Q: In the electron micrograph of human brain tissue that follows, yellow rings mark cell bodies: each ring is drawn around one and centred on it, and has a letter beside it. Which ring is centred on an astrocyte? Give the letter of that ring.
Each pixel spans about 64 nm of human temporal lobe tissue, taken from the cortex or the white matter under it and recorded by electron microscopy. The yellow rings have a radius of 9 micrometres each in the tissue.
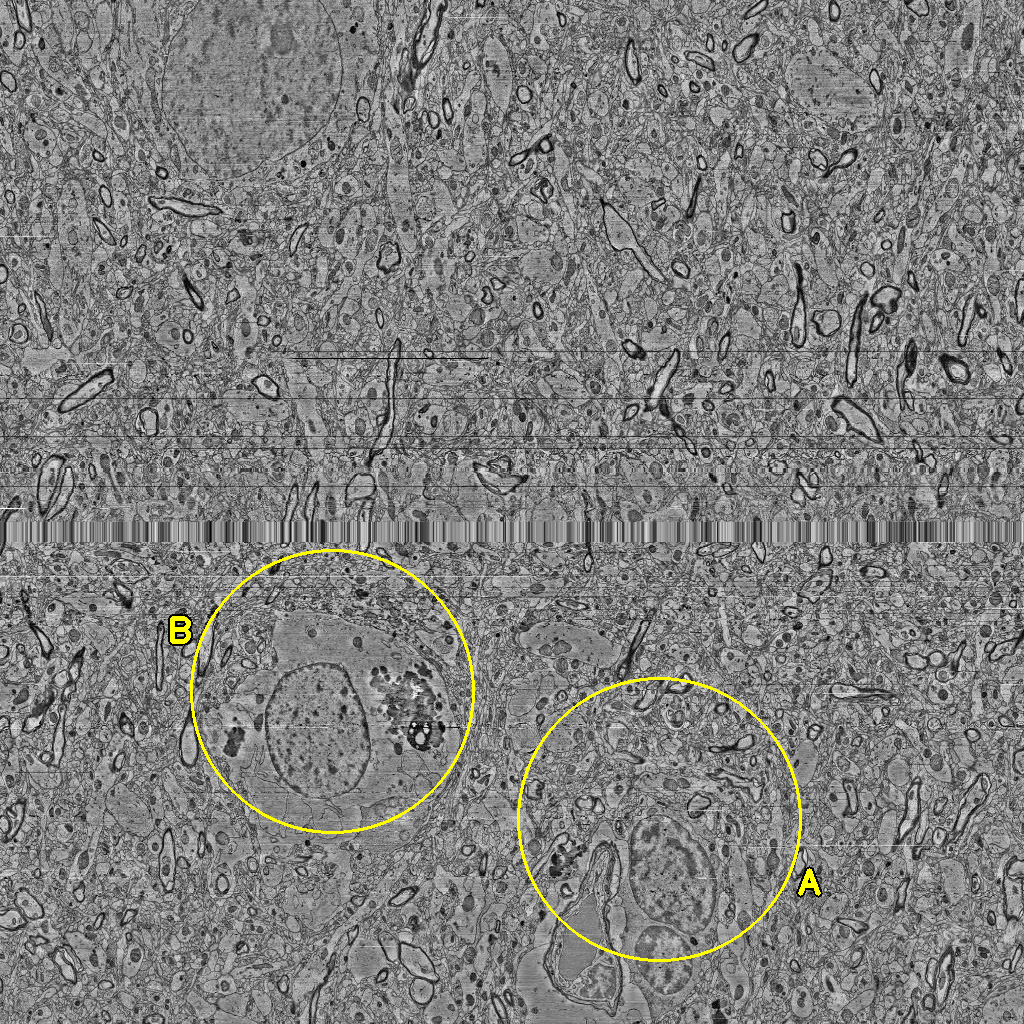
B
